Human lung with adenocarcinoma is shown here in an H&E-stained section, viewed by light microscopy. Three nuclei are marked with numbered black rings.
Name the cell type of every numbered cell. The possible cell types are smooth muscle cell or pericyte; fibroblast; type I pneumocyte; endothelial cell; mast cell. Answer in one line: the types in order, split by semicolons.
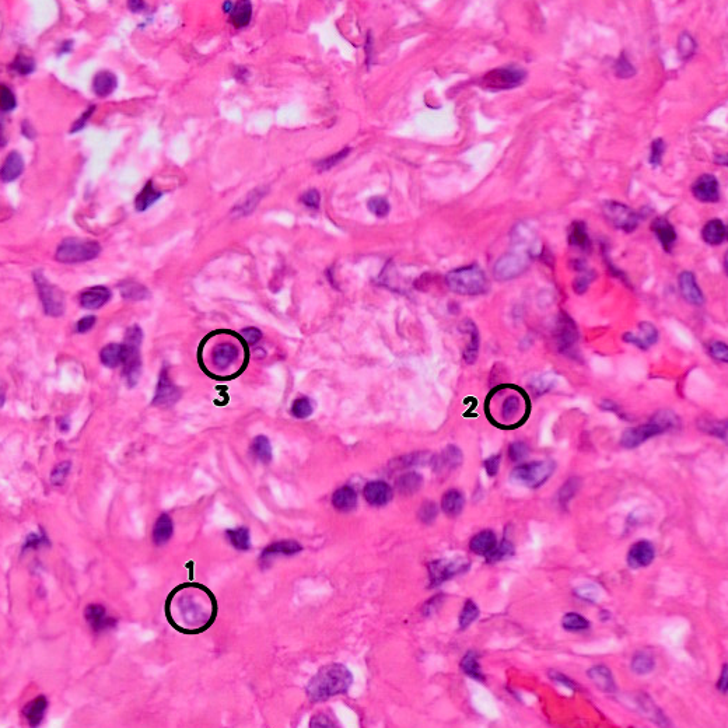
fibroblast; mast cell; mast cell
